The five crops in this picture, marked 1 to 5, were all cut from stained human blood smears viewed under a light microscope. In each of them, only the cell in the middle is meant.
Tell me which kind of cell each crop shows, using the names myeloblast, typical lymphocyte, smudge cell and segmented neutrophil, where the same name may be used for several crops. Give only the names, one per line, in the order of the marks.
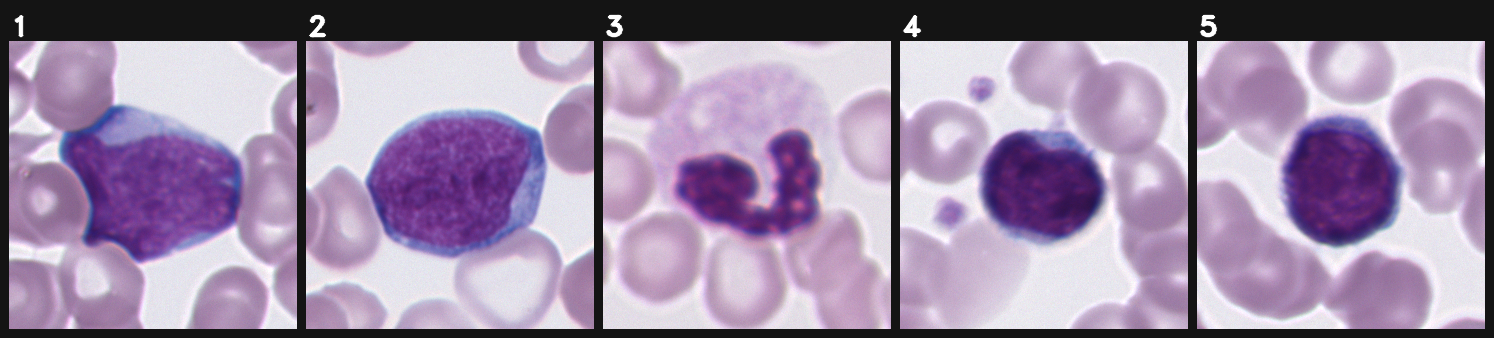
myeloblast
myeloblast
segmented neutrophil
typical lymphocyte
typical lymphocyte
